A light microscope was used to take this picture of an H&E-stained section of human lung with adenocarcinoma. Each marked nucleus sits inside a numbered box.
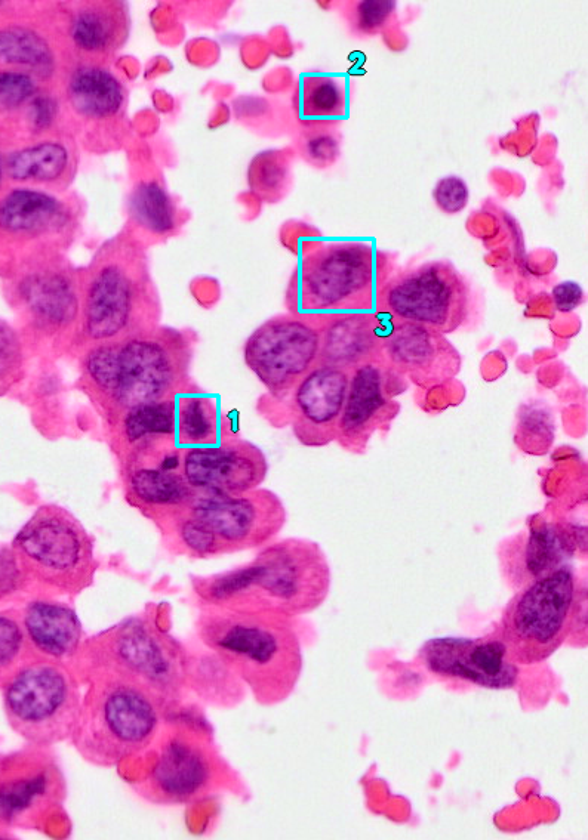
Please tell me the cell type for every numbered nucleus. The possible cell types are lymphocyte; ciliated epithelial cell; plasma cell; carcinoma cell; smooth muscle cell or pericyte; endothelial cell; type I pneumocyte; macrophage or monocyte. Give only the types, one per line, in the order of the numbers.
carcinoma cell
macrophage or monocyte
carcinoma cell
